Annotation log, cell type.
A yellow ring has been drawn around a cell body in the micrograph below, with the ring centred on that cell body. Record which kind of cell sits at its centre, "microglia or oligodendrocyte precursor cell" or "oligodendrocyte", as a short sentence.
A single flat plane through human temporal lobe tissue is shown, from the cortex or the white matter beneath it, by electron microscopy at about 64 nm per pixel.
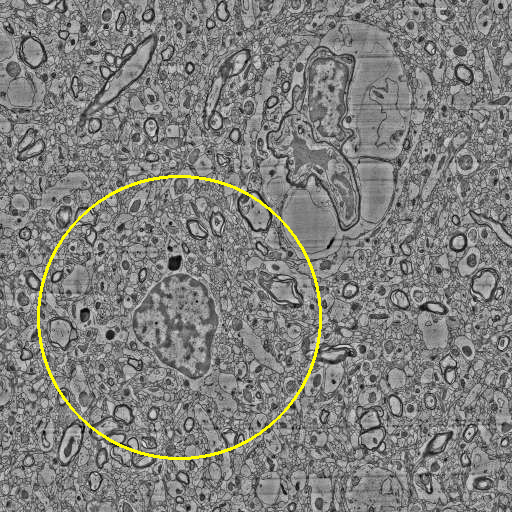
The cell at the centre of this ring is a microglial cell or oligodendrocyte precursor cell.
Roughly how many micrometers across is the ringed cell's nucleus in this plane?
The nucleus of the ringed cell is approximately 7 by 5 micrometres in this plane.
